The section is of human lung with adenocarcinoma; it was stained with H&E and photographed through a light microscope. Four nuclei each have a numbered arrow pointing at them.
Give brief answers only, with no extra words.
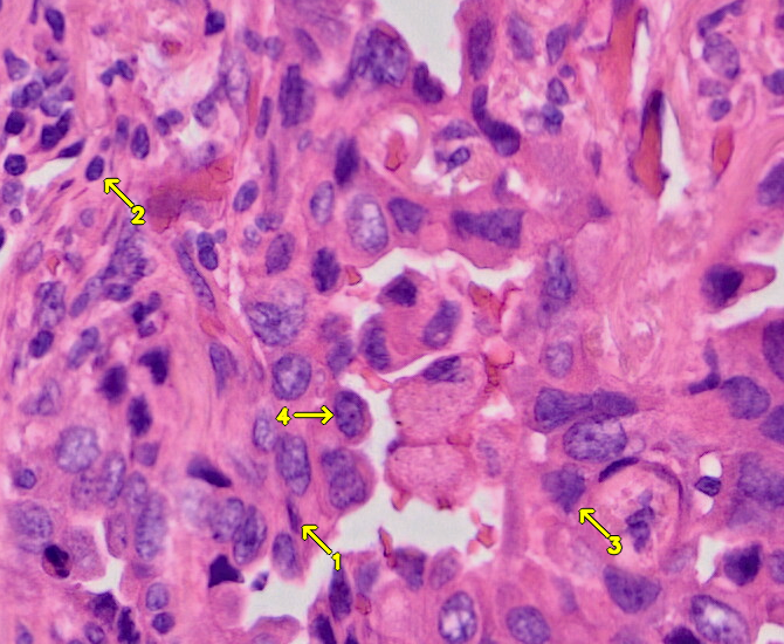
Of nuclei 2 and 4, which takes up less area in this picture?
2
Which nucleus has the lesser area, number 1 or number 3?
1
